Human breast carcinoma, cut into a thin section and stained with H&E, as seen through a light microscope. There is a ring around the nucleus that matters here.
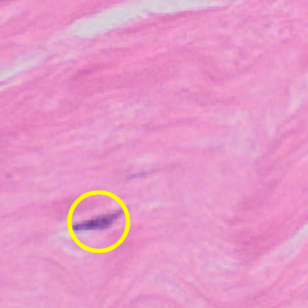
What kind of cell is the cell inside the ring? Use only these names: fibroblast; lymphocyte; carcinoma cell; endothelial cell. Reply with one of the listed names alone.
fibroblast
